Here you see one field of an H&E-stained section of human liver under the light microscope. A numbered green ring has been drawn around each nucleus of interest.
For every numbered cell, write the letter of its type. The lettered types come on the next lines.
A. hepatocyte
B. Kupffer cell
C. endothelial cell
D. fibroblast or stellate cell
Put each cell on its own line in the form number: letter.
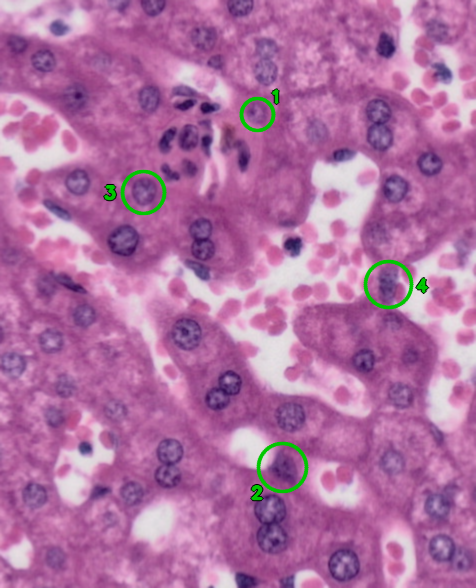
1: A
2: C
3: A
4: C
